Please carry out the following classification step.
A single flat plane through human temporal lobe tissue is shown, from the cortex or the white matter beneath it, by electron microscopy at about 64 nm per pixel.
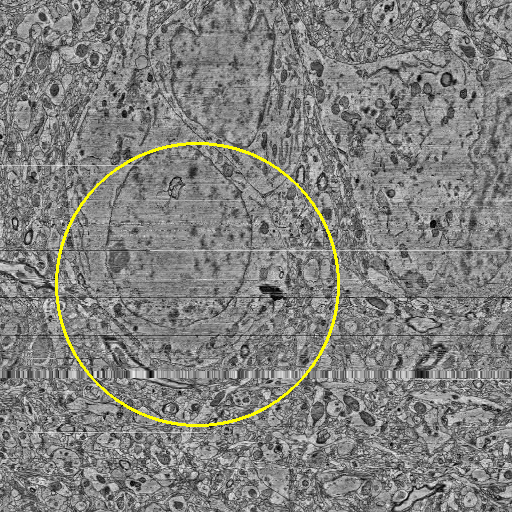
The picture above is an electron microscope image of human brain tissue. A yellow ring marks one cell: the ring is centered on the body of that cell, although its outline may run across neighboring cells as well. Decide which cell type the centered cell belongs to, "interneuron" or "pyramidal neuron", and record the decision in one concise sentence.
The cell centered in the yellow ring is a pyramidal neuron.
